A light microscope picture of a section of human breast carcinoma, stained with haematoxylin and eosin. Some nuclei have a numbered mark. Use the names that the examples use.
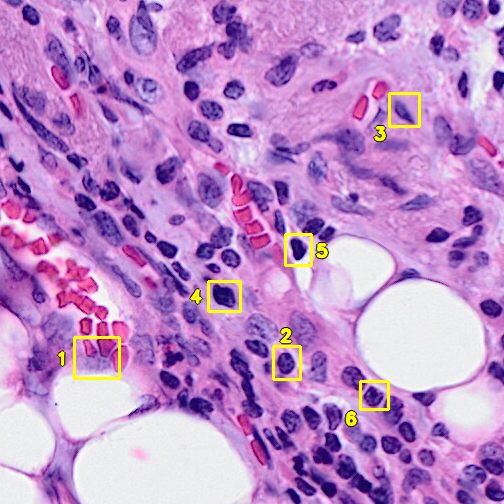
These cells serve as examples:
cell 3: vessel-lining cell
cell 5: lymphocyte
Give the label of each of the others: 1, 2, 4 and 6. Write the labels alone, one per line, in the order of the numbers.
vessel-lining cell
lymphocyte
lymphocyte
lymphocyte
